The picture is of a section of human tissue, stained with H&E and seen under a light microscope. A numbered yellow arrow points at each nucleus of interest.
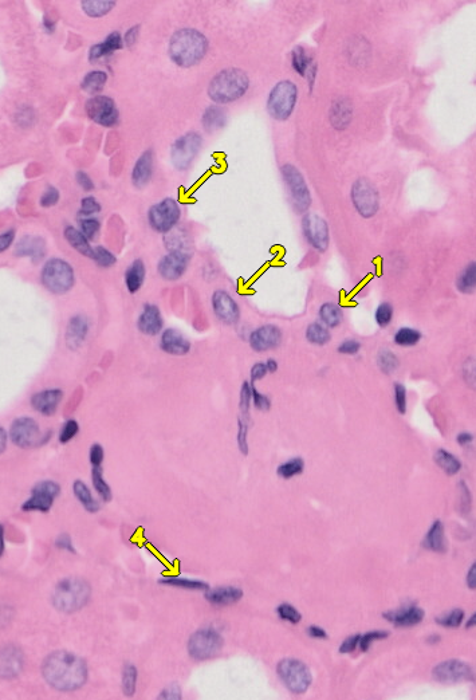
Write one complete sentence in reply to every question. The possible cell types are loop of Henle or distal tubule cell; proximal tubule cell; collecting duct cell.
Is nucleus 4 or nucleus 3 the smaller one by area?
With nucleus 3 about 2 times its size, nucleus 4 is the smaller of the two.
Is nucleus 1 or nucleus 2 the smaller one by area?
With nucleus 2 about 1.5 times its size, nucleus 1 is the smaller of the two.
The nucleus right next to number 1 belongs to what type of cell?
The nucleus nearest to number 1 is that of a collecting duct cell.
